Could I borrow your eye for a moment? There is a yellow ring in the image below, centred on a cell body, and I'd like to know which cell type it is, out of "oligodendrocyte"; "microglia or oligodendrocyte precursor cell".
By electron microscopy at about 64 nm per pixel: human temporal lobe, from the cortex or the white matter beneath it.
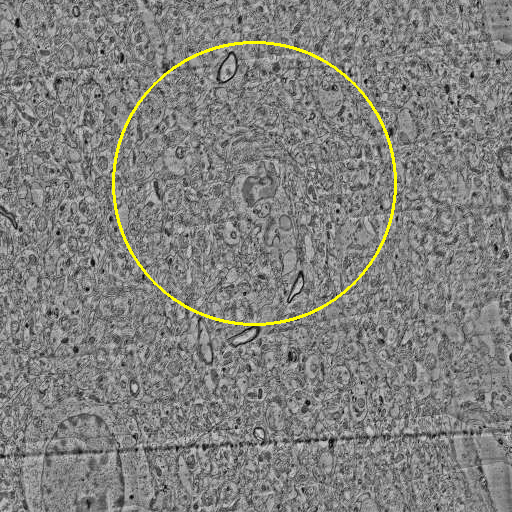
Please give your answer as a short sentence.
The cell body at the centre is that of a microglial cell or oligodendrocyte precursor cell.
